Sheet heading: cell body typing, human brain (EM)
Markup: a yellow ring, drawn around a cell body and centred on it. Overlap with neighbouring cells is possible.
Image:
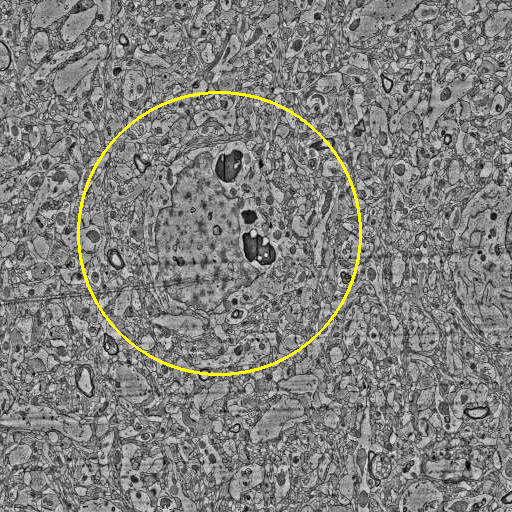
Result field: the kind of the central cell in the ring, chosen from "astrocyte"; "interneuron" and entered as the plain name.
interneuron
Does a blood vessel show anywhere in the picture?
No, the image shows no blood vessel.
